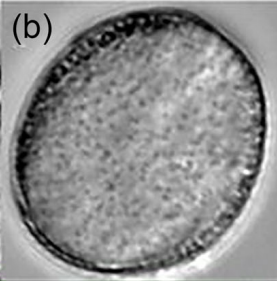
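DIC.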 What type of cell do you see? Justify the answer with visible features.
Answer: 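Pollen. A single oval cell with a thick, sculptured outer wall. Granular cytoplasm fills the grain.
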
